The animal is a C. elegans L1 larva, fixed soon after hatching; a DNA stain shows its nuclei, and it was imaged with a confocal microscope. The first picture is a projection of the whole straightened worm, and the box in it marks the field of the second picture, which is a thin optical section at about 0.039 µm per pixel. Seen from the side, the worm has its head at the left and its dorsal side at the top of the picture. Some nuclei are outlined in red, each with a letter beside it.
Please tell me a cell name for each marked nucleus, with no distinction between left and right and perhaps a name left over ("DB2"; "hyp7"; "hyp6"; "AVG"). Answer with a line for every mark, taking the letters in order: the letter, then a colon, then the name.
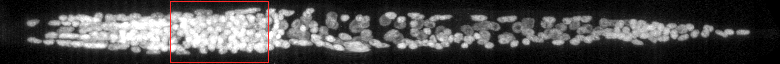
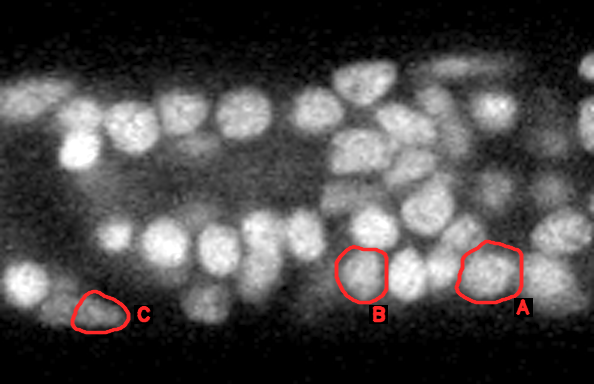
A: AVG
B: DB2
C: hyp7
